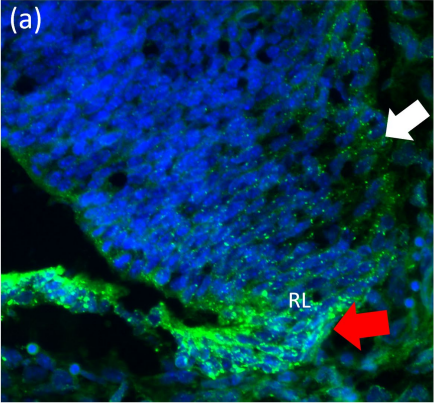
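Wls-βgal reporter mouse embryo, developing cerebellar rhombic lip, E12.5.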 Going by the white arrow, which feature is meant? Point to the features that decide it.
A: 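The white arrow points to the outer, upper right edge of the neural tissue. Green dots gather in a band along that outer edge. That points to this answer: subpial stream.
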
